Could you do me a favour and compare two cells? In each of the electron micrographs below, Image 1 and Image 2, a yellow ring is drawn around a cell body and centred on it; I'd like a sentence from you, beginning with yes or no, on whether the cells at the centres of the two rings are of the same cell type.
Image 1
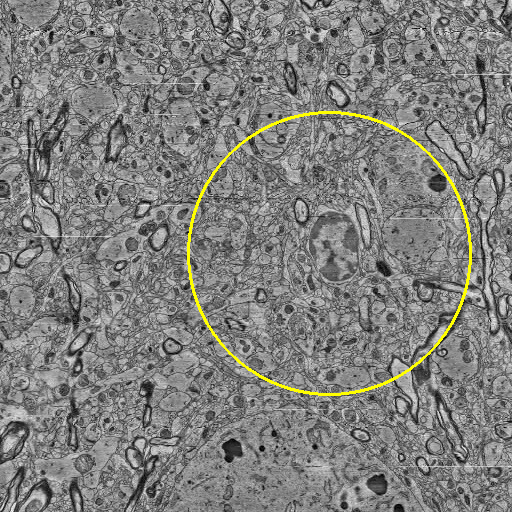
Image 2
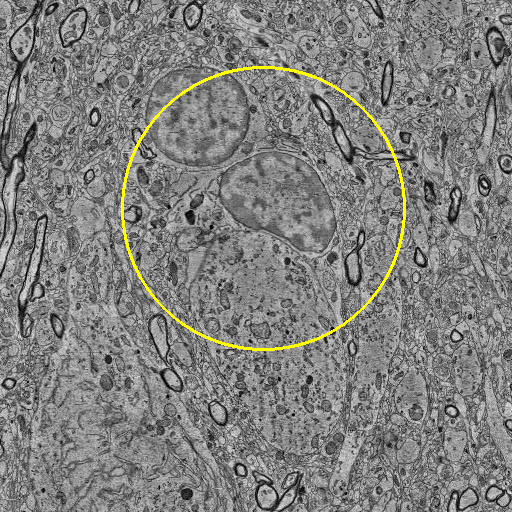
Yes, the two cells are of the same cell type.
